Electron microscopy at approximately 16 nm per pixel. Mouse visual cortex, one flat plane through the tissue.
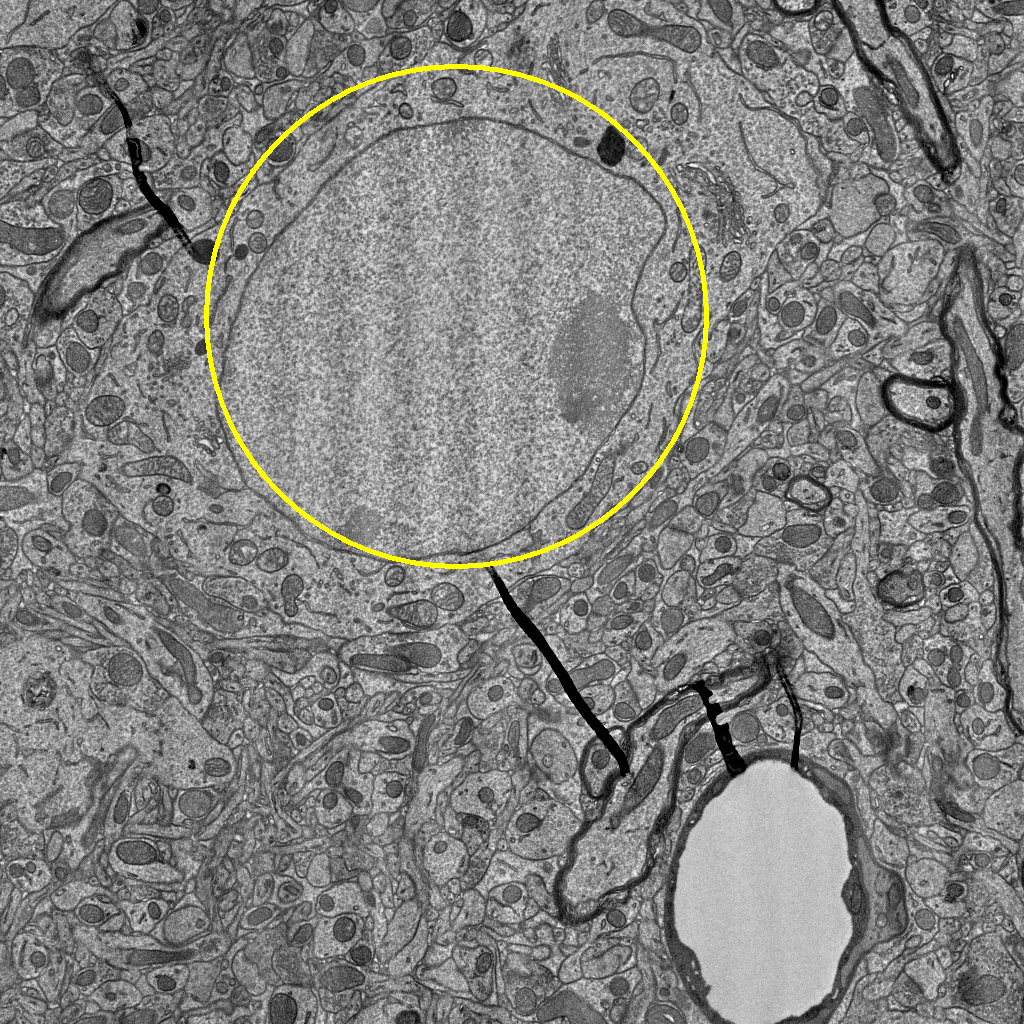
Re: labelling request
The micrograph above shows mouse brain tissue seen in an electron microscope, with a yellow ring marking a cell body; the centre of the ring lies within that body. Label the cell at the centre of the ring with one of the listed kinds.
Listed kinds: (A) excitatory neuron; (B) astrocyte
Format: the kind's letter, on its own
A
